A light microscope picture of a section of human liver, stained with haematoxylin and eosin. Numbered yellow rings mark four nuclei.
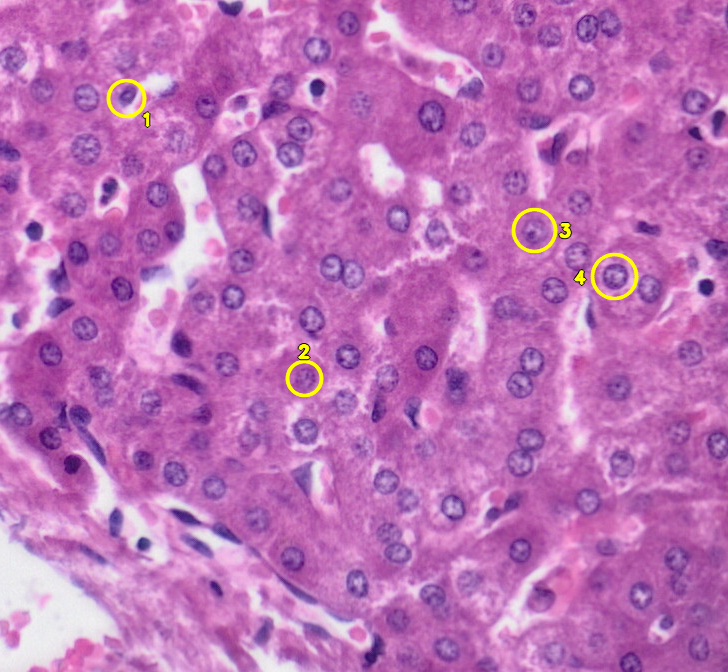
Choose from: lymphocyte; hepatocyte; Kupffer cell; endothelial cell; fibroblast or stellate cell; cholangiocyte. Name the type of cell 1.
Kupffer cell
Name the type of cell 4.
hepatocyte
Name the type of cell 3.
hepatocyte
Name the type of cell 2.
hepatocyte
